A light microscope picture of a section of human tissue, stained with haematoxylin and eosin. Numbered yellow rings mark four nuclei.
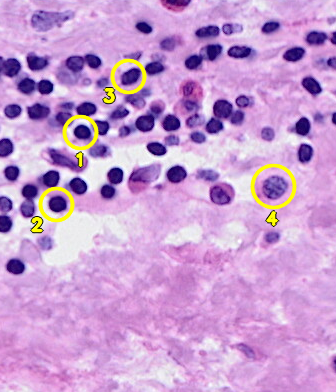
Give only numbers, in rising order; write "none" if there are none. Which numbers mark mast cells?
4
